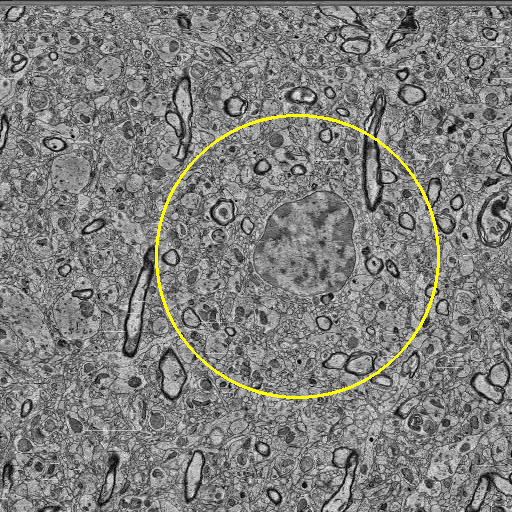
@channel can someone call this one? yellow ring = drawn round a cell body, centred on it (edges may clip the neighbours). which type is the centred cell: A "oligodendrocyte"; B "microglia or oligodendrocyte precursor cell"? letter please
B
